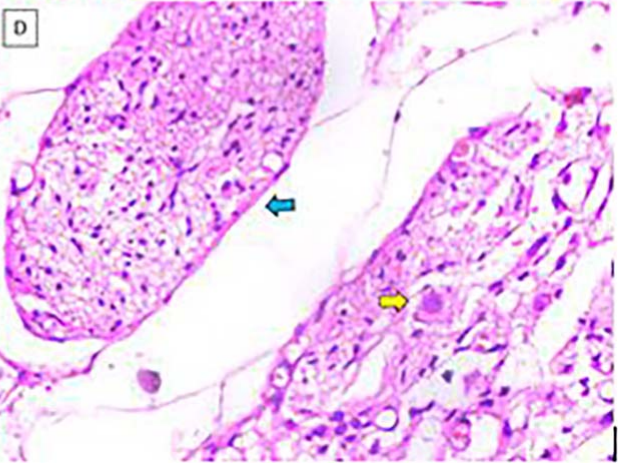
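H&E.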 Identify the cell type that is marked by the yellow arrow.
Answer: ganglion cells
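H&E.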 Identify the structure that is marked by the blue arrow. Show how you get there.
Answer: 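Nerve trunks. The arrow points to the edge of a well-bounded bundle. The bundle holds many wavy, spindle-shaped nuclei in pink fibrillary stroma.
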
